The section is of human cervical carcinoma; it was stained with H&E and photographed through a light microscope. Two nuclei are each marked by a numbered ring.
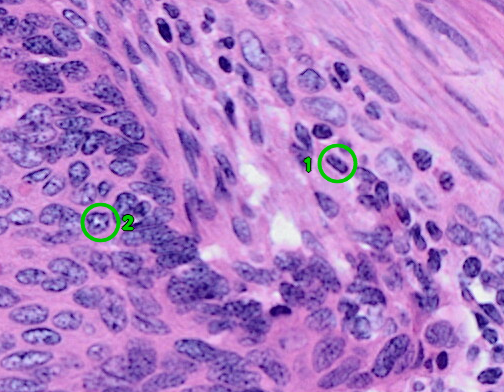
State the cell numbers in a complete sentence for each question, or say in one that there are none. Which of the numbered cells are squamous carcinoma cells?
Of the marked cells, the one numbered 2 is a squamous carcinoma cell and the rest are not.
